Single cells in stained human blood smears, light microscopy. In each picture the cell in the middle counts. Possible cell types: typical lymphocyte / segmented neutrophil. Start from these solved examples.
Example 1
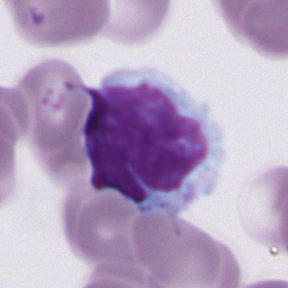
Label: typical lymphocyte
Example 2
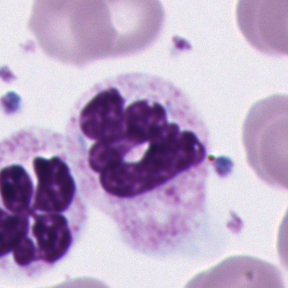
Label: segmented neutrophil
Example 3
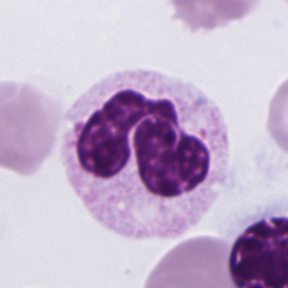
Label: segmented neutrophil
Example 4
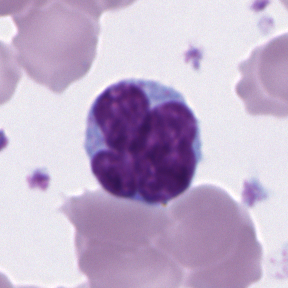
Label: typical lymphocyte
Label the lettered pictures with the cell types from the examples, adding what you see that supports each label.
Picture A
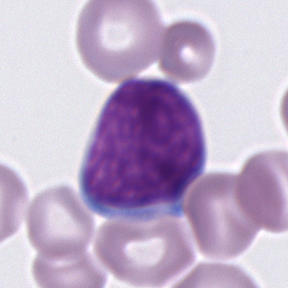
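typical lymphocyte. Evidence: The cytoplasm is a thin rim seen mainly along the lower edge of the cell.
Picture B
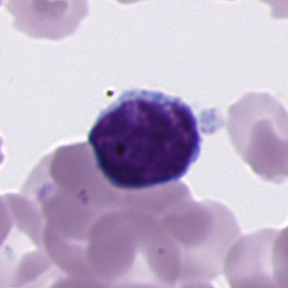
typical lymphocyte. Evidence: The cytoplasm is a thin rim that is widest along the top of the cell.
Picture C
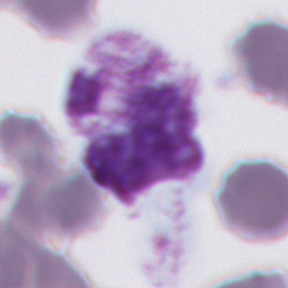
segmented neutrophil. Evidence: The outline of the nucleus is hidden by the overlying granules.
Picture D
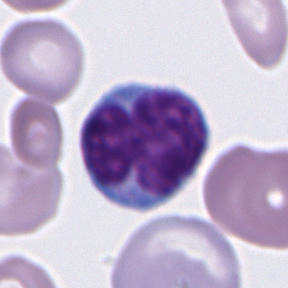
typical lymphocyte. Evidence: The cytoplasm forms only a thin rim around the nucleus.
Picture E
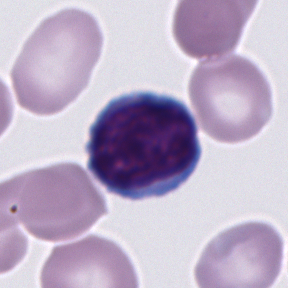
typical lymphocyte. Evidence: The cytoplasm is only a thin rim around the nucleus.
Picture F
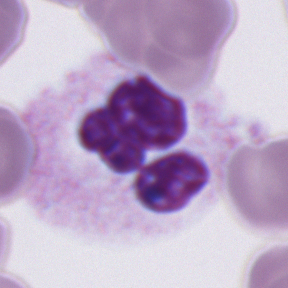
segmented neutrophil. Evidence: The cytoplasm is abundant and pale.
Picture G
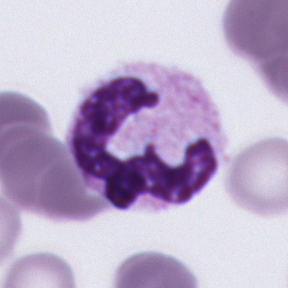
segmented neutrophil. Evidence: The cytoplasm is plentiful and pale pink.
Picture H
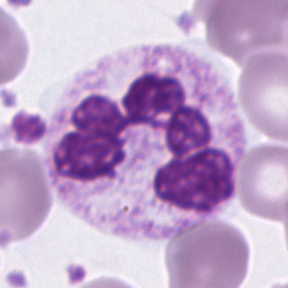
segmented neutrophil. Evidence: The nucleus is divided into five separate lobes.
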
